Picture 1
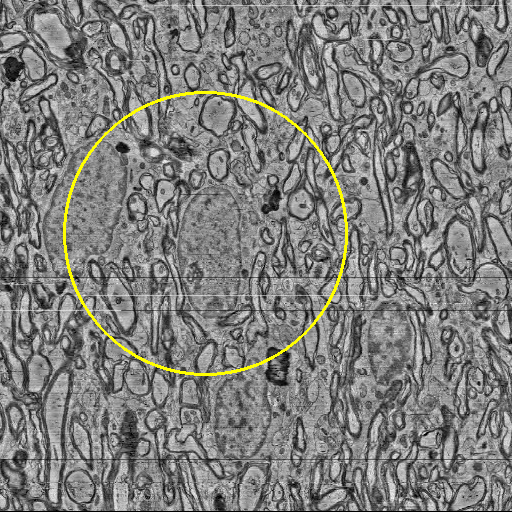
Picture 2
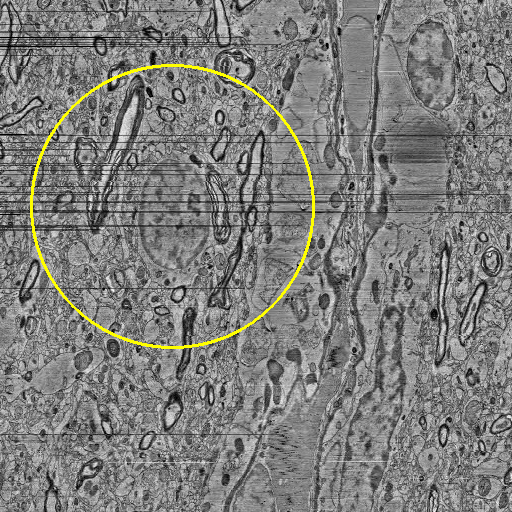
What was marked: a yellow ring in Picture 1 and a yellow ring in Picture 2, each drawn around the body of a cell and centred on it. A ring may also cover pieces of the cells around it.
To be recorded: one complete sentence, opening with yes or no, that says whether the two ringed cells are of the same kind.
Yes, the two ringed cells are of the same kind.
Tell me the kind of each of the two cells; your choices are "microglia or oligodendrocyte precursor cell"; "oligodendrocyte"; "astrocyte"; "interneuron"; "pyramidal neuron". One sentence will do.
Each of the two cells is an oligodendrocyte.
